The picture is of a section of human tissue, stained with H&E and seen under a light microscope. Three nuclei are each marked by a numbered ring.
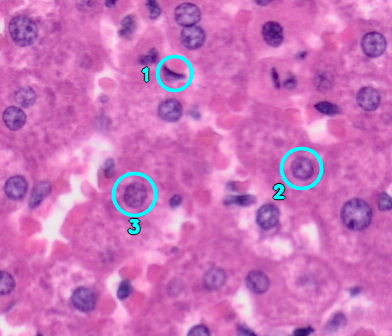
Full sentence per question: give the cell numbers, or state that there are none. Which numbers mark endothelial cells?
Cell 1 is an endothelial cell, and that holds for no other numbered cell.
